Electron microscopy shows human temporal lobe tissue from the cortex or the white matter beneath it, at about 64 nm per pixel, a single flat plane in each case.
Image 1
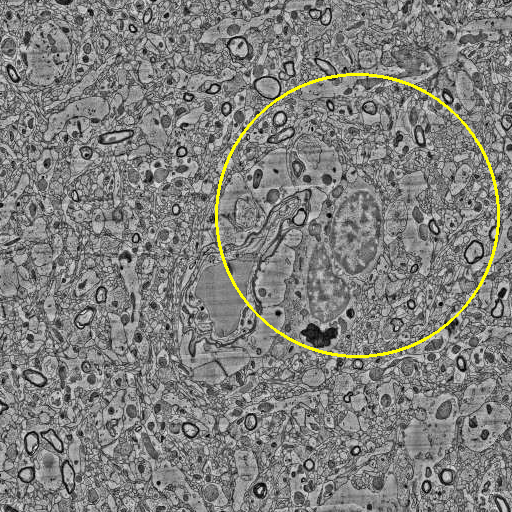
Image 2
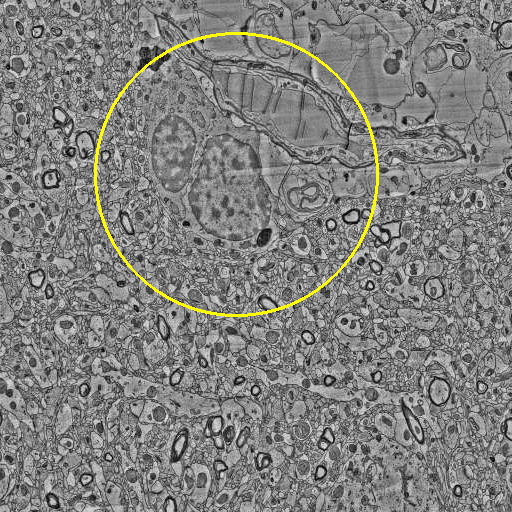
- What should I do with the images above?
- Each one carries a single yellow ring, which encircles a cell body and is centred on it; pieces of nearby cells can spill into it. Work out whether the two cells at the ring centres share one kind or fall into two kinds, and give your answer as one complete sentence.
The ring-centre cells of Image 1 and Image 2 share one kind.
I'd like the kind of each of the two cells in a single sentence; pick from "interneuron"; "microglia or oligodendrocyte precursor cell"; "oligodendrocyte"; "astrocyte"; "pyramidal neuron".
In each of the two pictures, the ringed cell is an oligodendrocyte.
